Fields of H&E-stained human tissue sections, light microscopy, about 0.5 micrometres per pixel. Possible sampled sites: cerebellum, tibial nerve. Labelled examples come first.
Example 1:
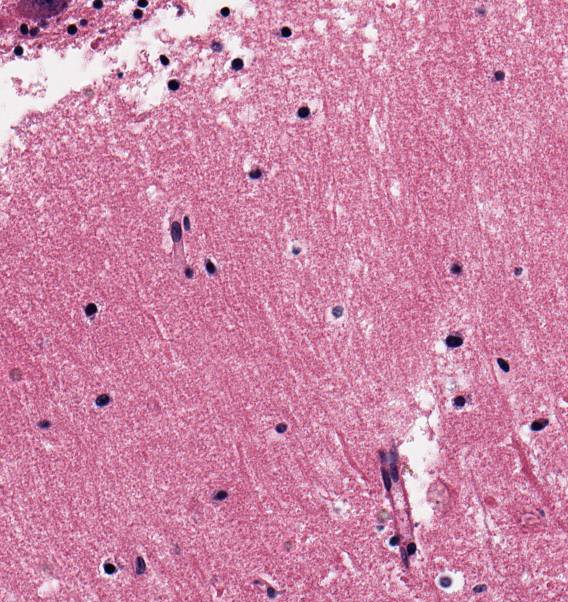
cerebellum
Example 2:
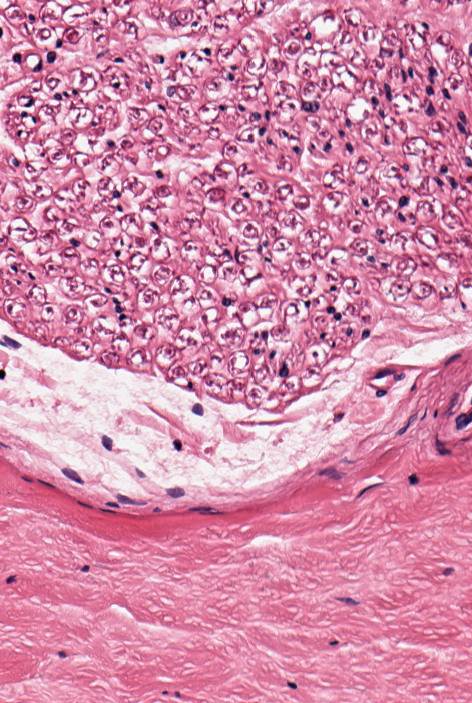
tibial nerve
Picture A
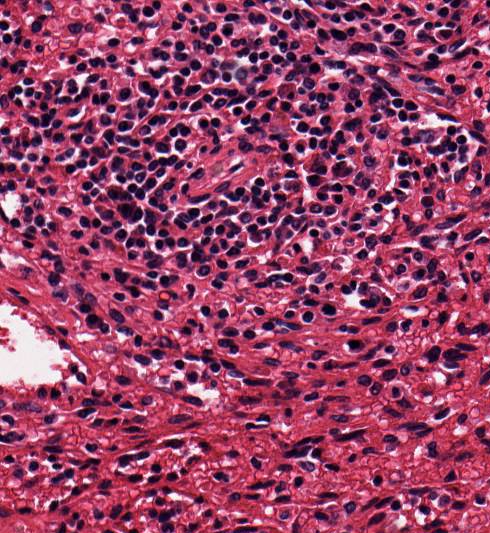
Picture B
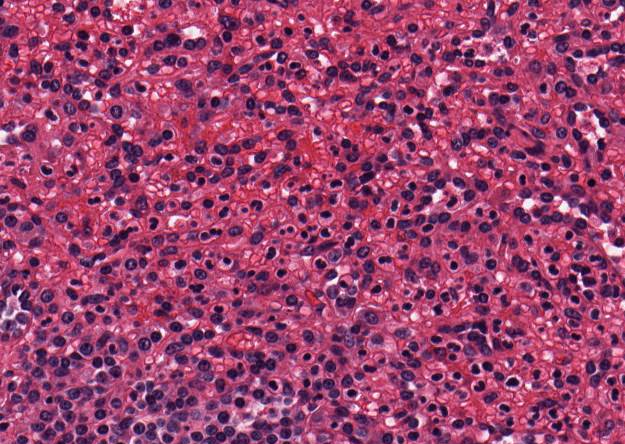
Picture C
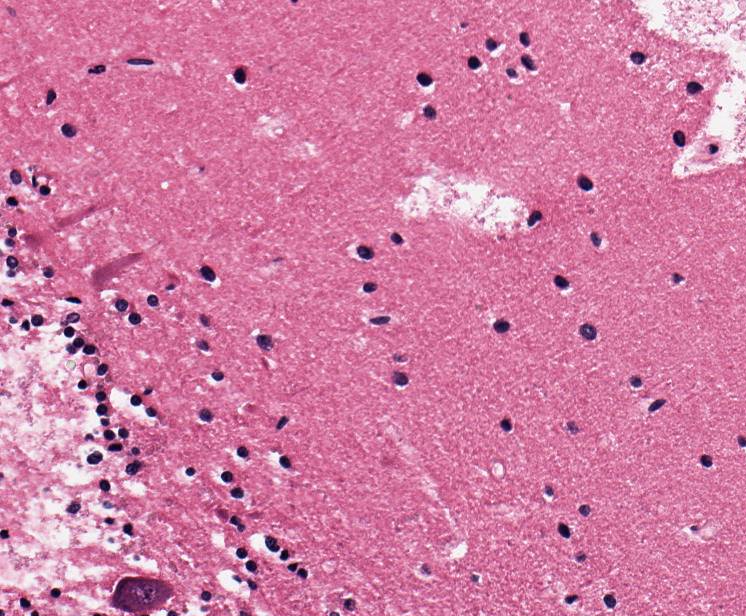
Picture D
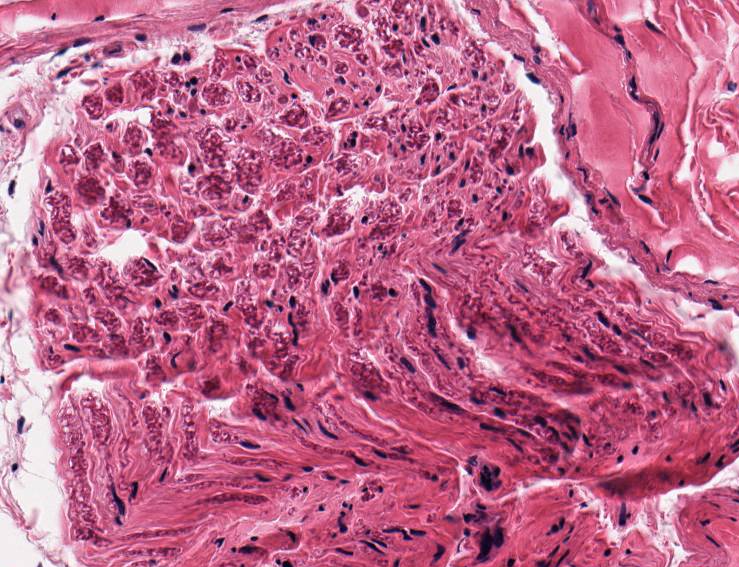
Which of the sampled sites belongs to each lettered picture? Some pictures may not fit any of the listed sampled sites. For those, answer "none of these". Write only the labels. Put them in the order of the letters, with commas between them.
none of these, none of these, cerebellum, tibial nerve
